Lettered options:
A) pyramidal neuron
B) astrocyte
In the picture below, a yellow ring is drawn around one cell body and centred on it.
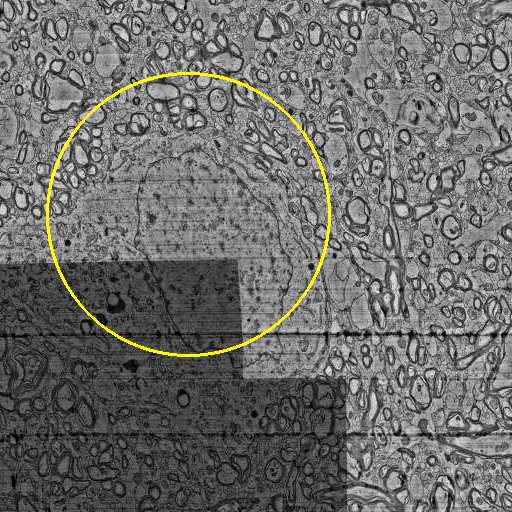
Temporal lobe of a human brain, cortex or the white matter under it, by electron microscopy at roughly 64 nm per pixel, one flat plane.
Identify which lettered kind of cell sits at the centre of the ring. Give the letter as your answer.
A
